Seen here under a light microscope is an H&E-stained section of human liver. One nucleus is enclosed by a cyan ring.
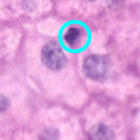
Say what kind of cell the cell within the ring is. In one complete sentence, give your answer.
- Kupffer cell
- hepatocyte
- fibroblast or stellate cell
So far as cell type goes, the cell within the ring is a fibroblast or stellate cell.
